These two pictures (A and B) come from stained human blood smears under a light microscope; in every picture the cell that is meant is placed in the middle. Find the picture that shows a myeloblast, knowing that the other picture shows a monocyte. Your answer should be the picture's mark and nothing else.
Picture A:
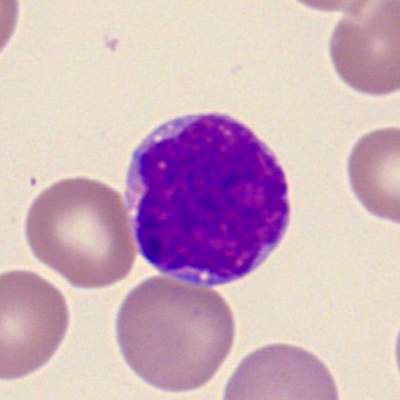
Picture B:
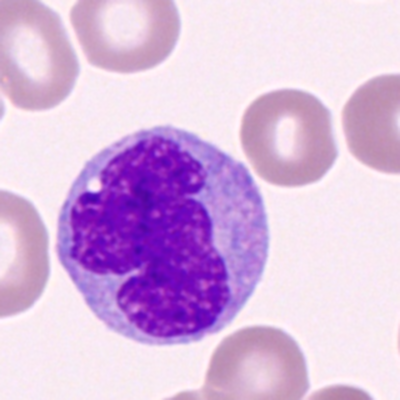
A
